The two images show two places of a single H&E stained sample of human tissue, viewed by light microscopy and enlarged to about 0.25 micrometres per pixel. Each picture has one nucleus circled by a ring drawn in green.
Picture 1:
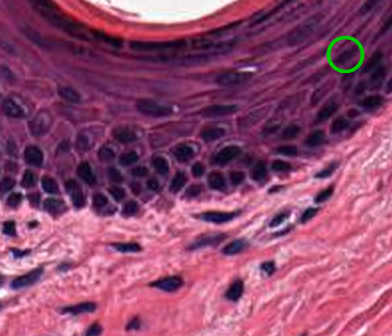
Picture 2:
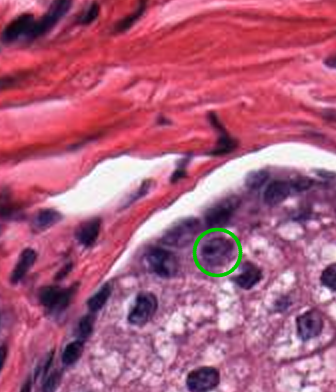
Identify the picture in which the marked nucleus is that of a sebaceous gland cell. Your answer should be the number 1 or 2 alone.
2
